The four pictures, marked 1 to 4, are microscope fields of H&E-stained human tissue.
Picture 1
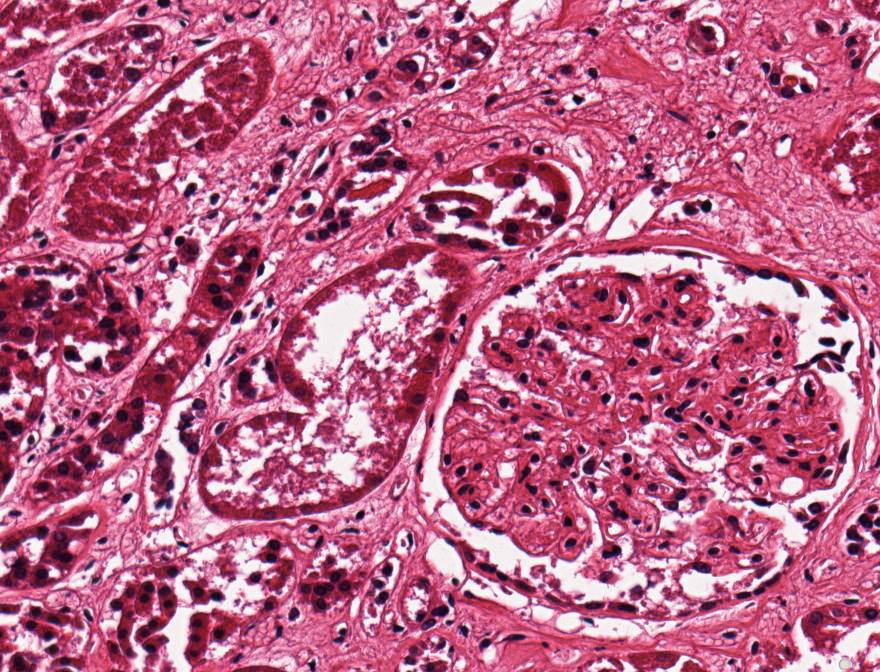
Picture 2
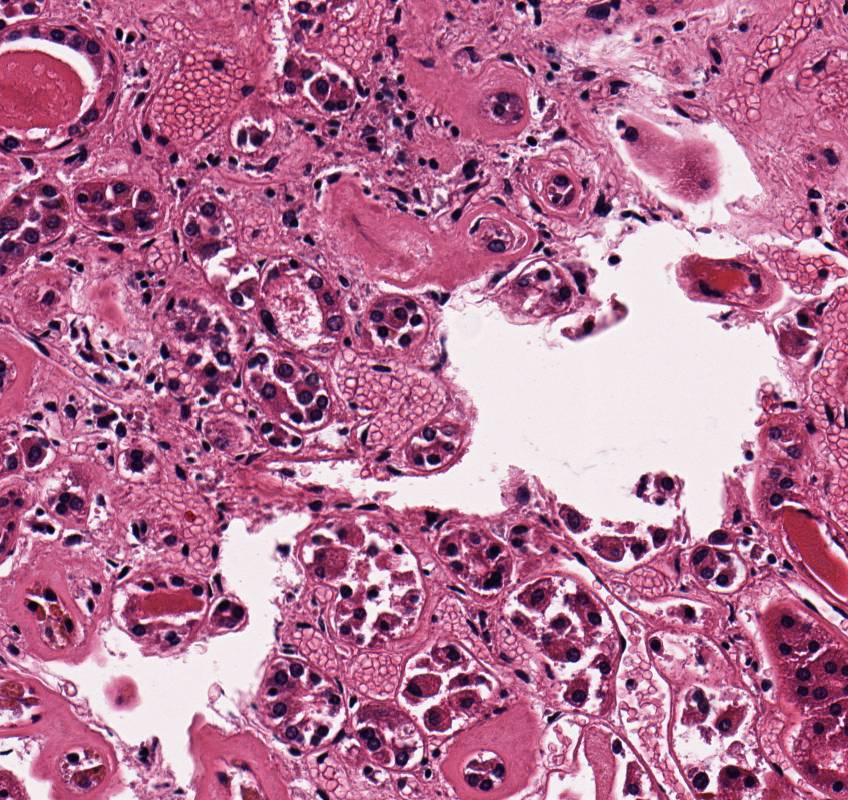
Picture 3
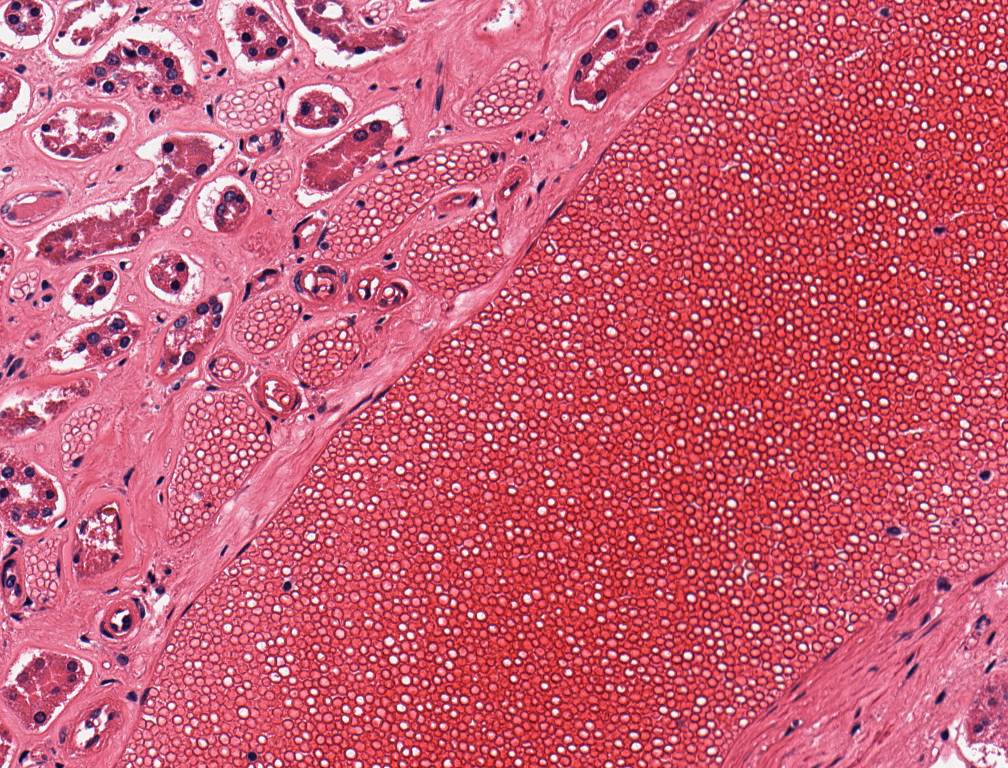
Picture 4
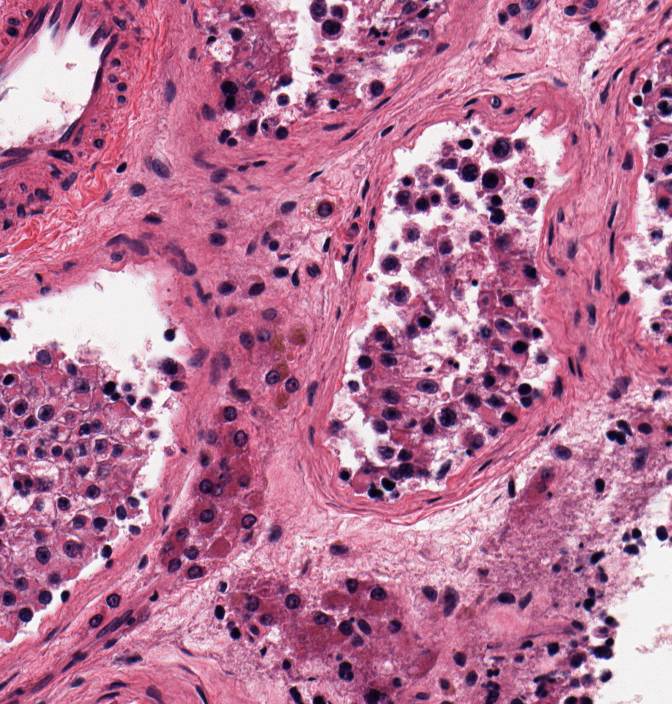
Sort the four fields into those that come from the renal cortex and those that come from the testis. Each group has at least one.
1: renal cortex
2: renal cortex
3: renal cortex
4: testis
